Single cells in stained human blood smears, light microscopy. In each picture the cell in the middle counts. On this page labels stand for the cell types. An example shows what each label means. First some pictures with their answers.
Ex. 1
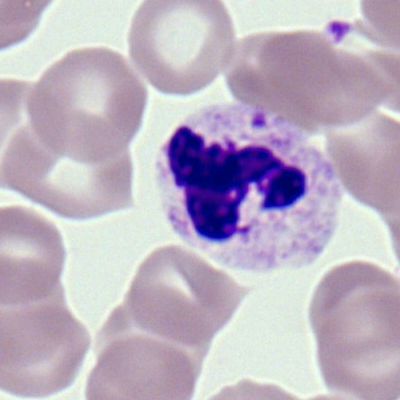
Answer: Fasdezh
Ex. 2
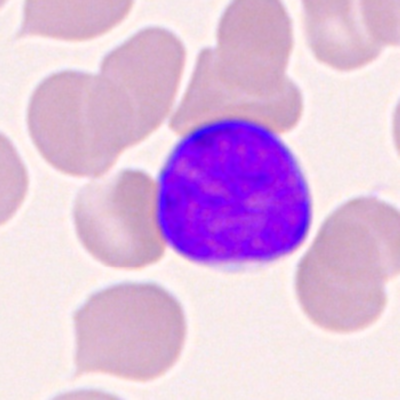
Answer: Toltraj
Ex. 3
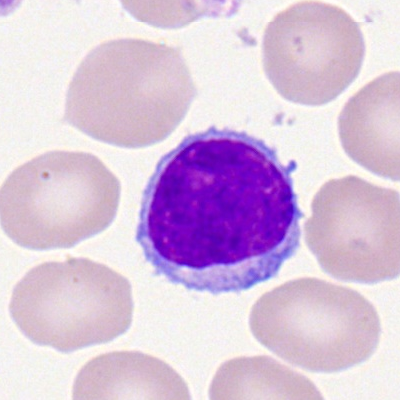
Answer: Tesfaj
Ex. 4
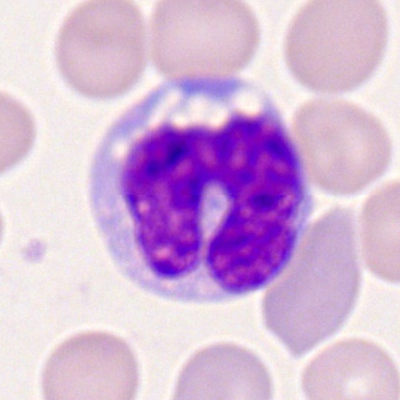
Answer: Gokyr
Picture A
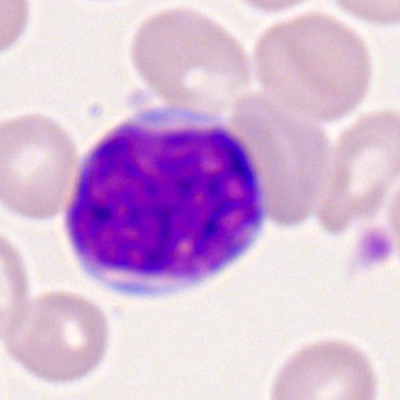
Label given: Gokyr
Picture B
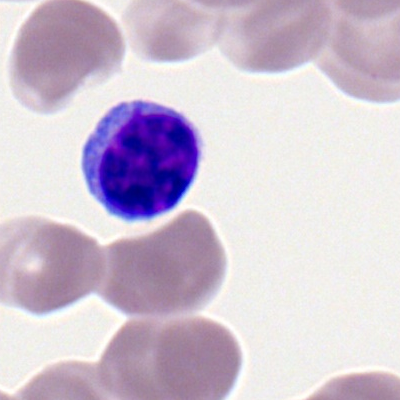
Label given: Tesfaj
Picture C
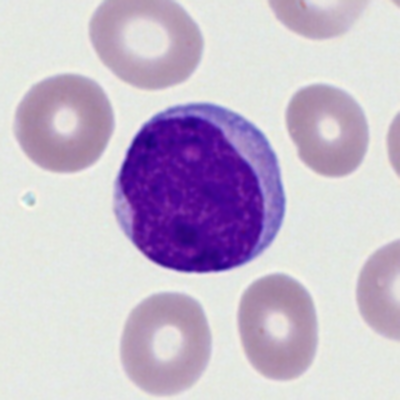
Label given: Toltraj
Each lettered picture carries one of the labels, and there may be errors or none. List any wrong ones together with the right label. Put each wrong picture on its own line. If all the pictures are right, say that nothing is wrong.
Wrong: A (Gokyr); correct: Toltraj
